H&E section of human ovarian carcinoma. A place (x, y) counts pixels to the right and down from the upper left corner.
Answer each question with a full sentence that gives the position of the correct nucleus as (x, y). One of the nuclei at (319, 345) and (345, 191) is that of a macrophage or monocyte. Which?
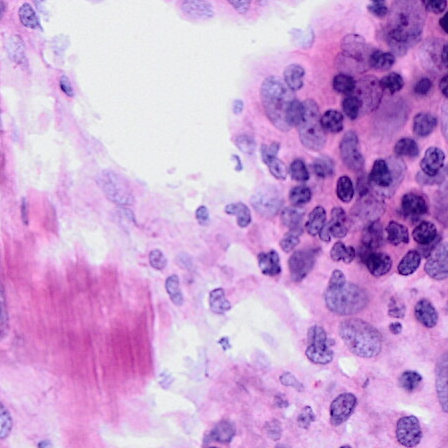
The one at (319, 345) is the nucleus belonging to a macrophage or monocyte, not the other one.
